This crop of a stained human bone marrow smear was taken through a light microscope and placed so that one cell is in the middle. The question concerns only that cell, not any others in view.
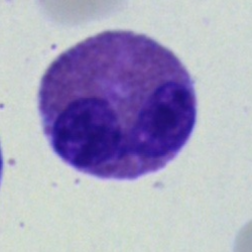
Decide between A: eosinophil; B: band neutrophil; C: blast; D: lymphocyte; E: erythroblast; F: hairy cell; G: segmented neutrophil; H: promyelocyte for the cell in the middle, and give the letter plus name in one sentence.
Option A gives the correct identity of the central cell, namely an eosinophil.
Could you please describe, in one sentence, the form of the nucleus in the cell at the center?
Two or more lobes make up the nucleus of this cell.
